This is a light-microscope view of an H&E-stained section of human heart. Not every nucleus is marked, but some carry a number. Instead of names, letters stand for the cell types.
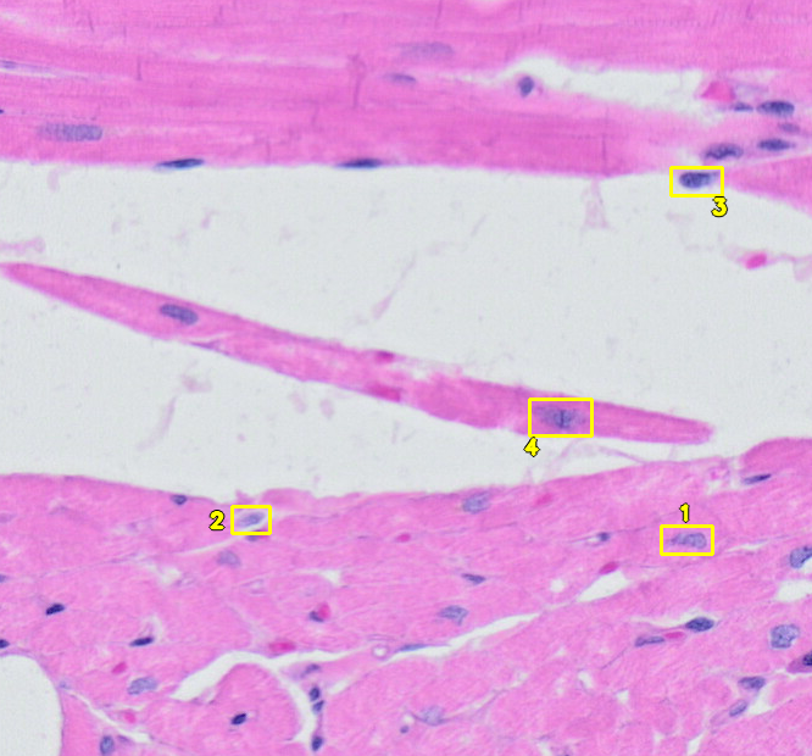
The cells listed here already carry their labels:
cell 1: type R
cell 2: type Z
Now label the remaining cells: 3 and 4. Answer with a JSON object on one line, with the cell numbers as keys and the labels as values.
{"3": "type Z", "4": "type R"}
